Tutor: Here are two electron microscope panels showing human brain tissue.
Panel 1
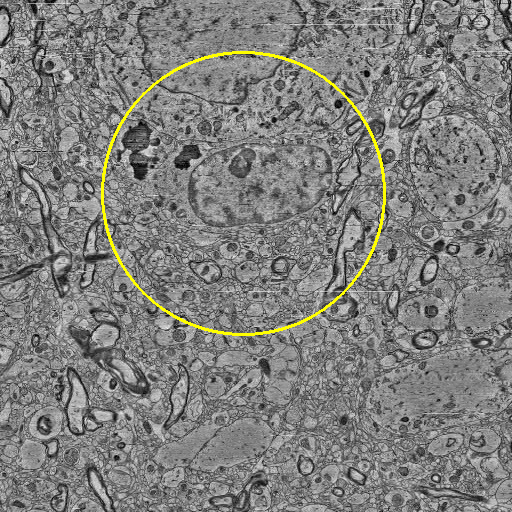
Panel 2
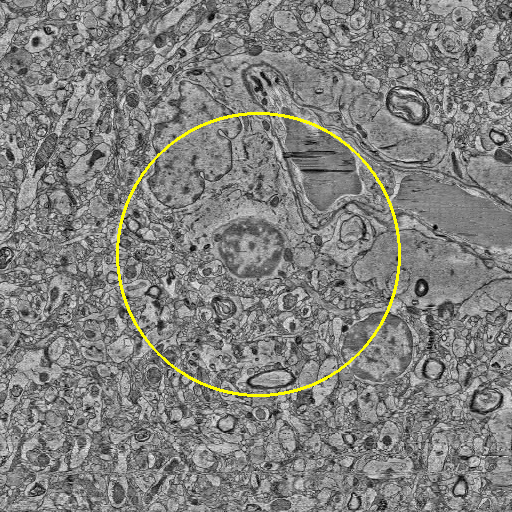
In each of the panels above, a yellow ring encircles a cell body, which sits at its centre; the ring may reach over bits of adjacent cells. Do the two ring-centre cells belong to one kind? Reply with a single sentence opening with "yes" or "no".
Yes, the two cells sitting at the ring centres in the panels belong to one kind.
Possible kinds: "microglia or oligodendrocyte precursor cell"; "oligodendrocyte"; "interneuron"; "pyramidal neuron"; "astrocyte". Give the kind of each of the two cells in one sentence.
In each picture the ringed cell is an oligodendrocyte.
